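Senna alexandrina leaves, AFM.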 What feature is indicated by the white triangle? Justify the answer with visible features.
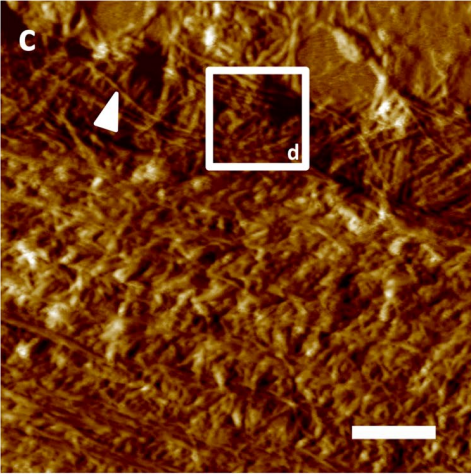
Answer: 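The triangle points at a thin, long, straight thread.
Isolated microfibril.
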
